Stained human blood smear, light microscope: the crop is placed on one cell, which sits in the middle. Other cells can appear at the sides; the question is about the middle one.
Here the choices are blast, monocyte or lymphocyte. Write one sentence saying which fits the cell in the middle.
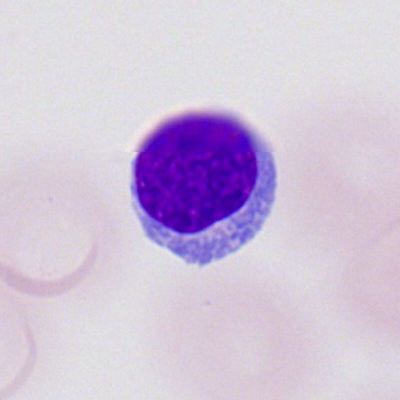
The cell sitting right in the middle is a lymphocyte.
